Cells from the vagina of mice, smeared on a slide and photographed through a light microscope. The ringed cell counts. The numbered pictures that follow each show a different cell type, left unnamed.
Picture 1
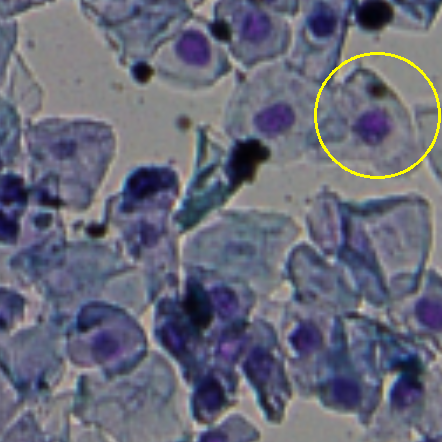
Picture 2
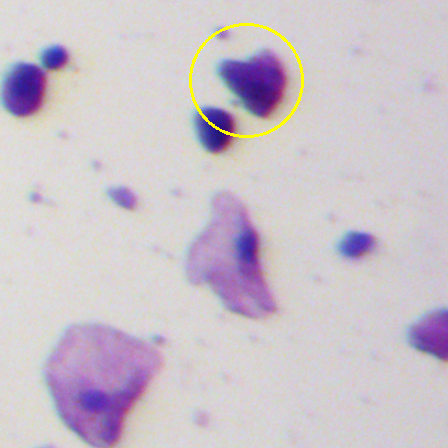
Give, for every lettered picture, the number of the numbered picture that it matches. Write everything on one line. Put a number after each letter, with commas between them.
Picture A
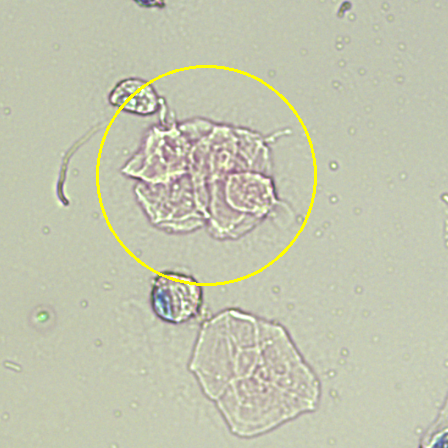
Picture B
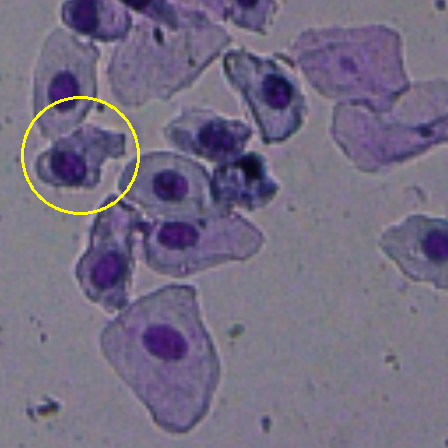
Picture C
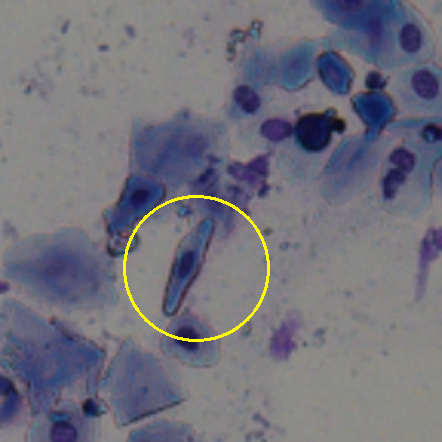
A 2, B 1, C 1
